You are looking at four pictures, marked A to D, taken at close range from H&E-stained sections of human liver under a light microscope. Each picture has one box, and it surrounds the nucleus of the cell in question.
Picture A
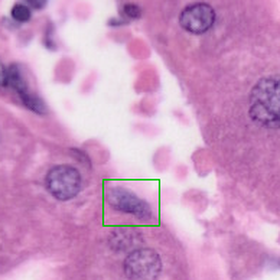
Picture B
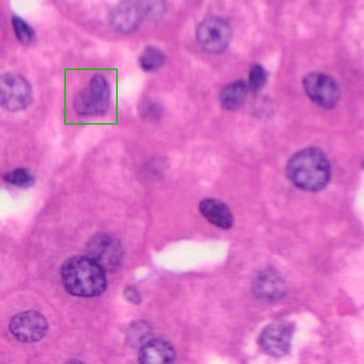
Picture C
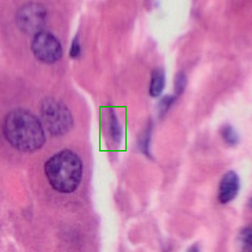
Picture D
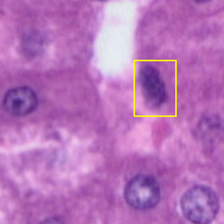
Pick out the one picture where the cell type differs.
B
